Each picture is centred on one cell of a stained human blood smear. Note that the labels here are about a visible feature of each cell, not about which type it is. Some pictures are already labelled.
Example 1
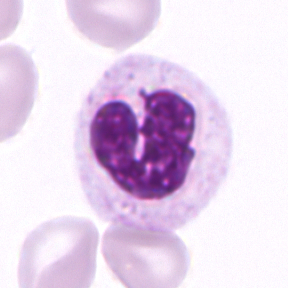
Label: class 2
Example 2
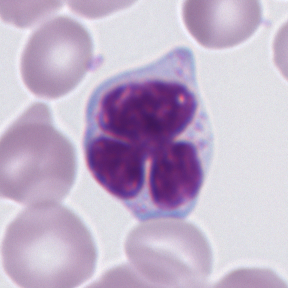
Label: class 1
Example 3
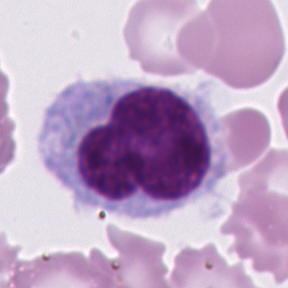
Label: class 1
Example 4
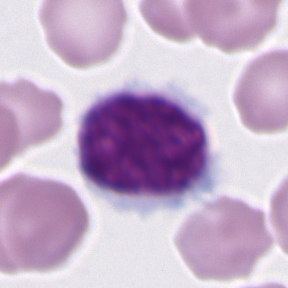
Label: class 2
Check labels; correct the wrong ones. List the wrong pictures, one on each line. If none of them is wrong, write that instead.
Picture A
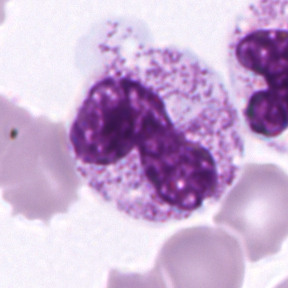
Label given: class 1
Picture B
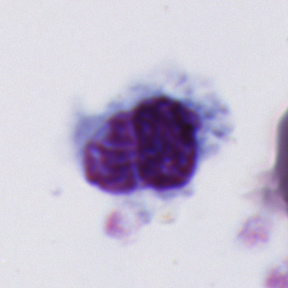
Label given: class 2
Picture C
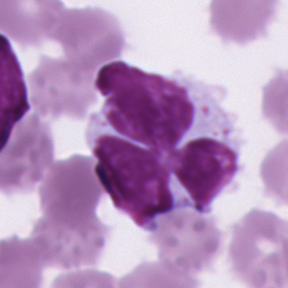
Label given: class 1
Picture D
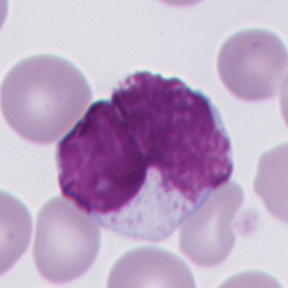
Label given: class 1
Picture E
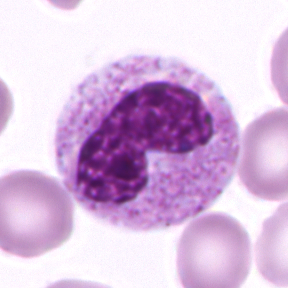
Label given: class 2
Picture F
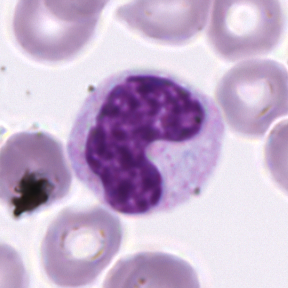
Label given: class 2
B should be class 1, not class 2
